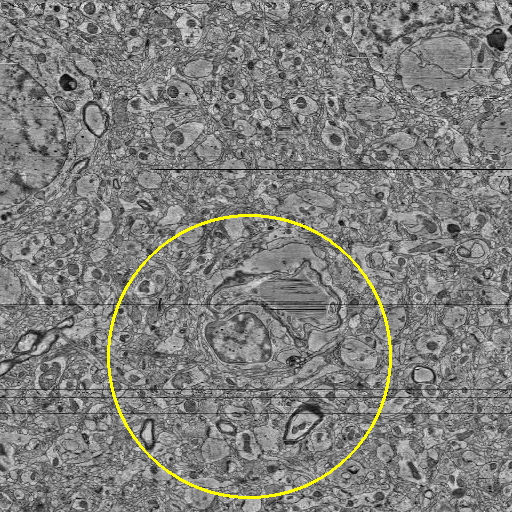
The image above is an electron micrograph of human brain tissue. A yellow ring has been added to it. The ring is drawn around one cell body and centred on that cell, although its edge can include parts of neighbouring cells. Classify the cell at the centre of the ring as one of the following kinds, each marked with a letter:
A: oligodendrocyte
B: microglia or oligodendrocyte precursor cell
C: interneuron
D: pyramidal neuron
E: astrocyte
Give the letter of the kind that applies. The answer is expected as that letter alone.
B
